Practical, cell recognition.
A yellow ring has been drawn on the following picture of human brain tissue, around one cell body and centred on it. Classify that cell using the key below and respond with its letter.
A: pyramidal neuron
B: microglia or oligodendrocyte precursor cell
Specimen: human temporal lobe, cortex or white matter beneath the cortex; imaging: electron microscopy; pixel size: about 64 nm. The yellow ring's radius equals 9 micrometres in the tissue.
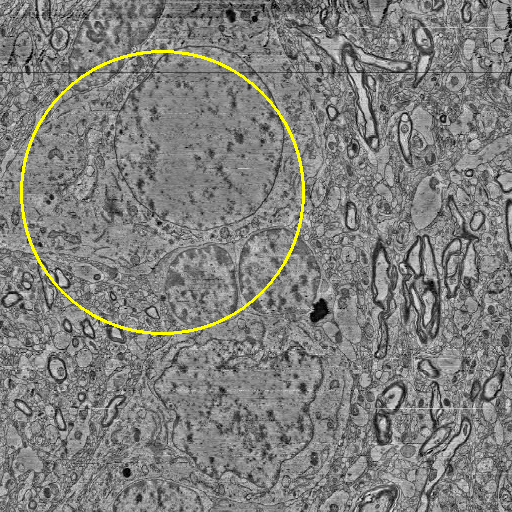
A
